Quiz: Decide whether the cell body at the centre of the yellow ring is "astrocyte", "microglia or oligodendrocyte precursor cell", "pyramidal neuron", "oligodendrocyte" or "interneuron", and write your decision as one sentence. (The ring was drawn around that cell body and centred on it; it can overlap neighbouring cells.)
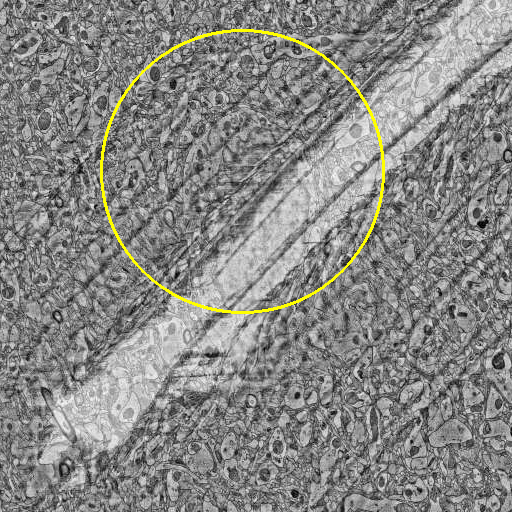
The cell the ring is centred on is an interneuron.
